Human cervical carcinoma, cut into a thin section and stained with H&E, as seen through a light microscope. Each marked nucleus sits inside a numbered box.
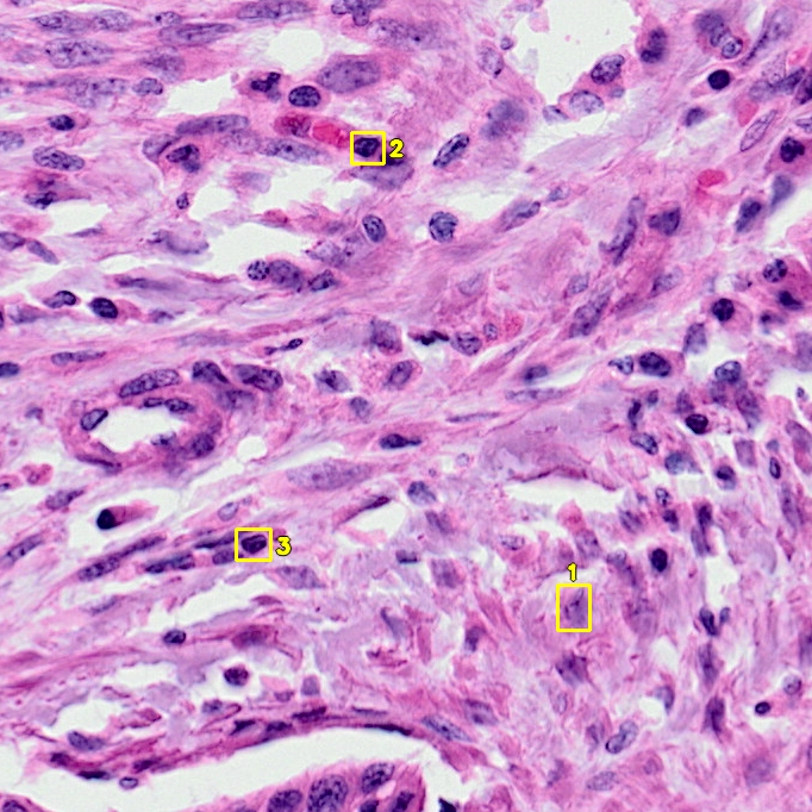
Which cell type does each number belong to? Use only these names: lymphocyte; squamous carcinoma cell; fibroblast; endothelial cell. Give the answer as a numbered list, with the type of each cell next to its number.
1. fibroblast
2. lymphocyte
3. lymphocyte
